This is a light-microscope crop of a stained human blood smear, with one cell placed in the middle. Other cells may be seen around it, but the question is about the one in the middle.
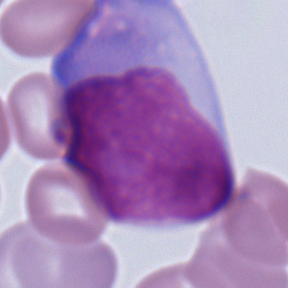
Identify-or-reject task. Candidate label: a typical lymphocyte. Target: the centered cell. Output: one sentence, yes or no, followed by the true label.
No, the cell at the centre of the crop is a myeloblast and not a typical lymphocyte.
